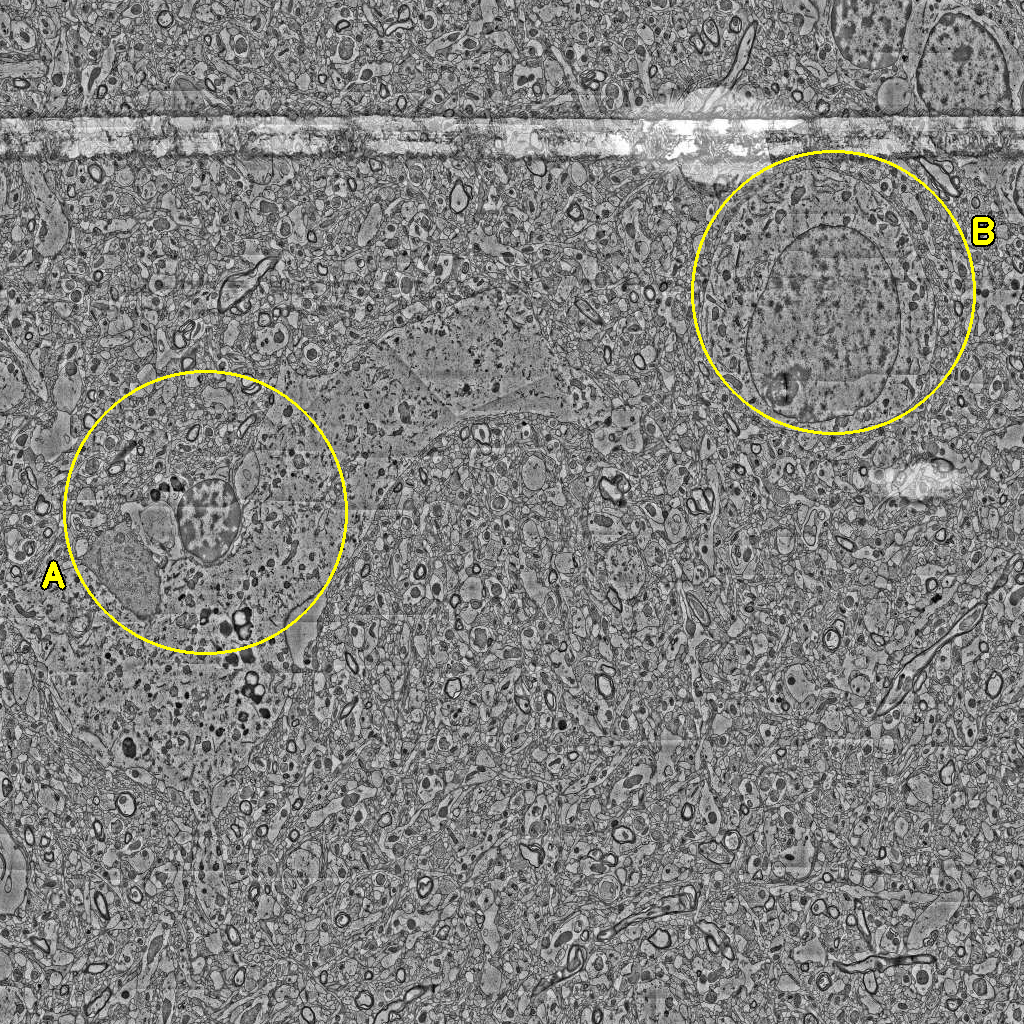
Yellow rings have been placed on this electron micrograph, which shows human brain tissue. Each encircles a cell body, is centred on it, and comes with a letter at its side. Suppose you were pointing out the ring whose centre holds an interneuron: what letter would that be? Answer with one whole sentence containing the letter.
The ring I would point to, centred on the cell in question, is B.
